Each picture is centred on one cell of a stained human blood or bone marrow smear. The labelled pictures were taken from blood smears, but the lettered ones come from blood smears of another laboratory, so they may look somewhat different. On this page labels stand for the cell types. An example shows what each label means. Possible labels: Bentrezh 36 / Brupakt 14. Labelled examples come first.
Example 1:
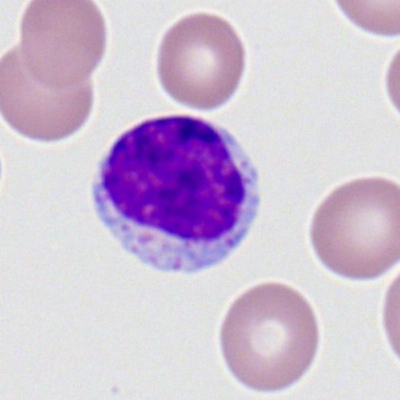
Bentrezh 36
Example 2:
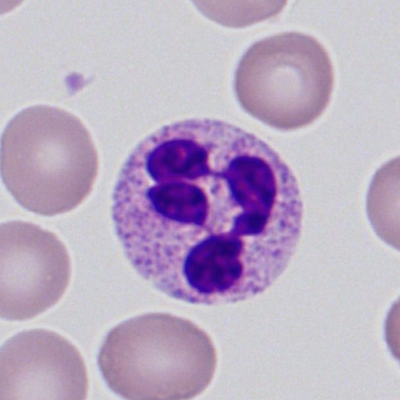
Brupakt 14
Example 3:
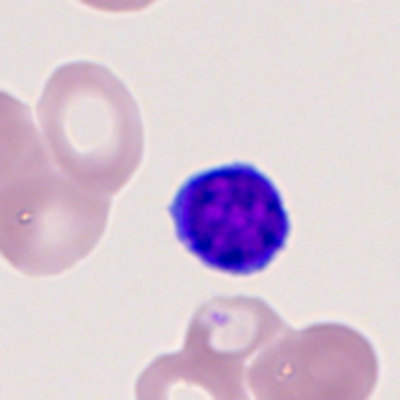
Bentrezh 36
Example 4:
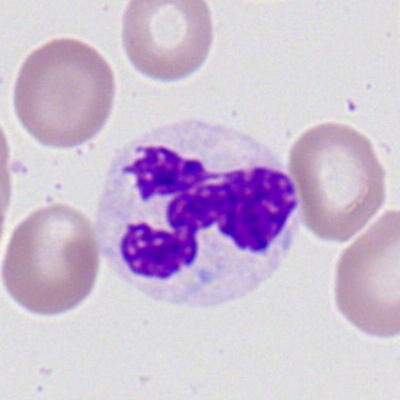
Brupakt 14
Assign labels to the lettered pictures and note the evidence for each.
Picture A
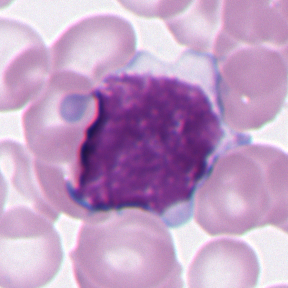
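Bentrezh 36. The nucleus fills most of the cell.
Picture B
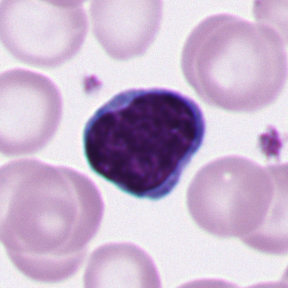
Bentrezh 36. The nucleus is a single unlobed mass.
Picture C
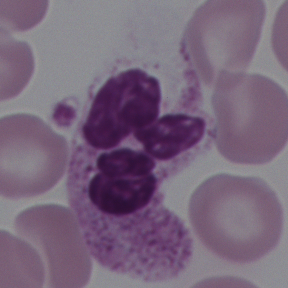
Brupakt 14. The nucleus is divided into four separate lobes.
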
